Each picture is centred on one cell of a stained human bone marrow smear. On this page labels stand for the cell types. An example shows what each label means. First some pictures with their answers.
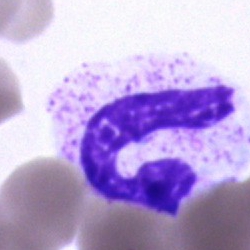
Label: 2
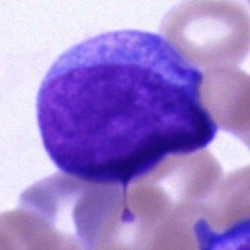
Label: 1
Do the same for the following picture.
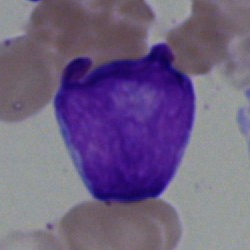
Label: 1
